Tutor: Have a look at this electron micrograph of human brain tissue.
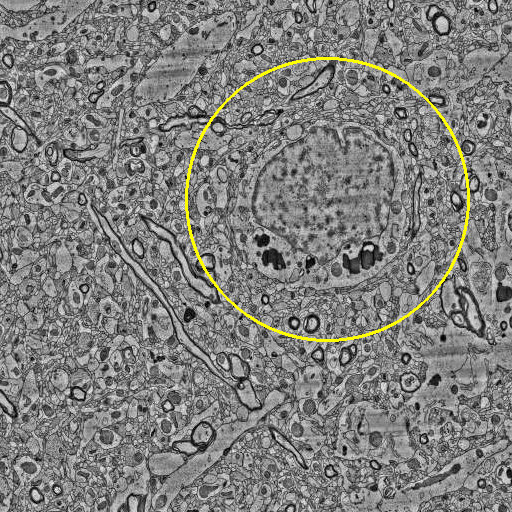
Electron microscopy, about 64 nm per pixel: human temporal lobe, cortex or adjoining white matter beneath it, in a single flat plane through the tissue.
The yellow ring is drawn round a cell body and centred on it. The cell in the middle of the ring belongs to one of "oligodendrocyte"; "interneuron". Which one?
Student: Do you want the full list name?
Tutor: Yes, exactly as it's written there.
interneuron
